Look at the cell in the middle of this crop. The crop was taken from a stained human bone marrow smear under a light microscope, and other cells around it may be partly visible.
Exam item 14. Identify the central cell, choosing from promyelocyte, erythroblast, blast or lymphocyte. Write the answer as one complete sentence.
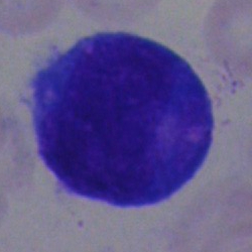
The identification for the central cell is a blast.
